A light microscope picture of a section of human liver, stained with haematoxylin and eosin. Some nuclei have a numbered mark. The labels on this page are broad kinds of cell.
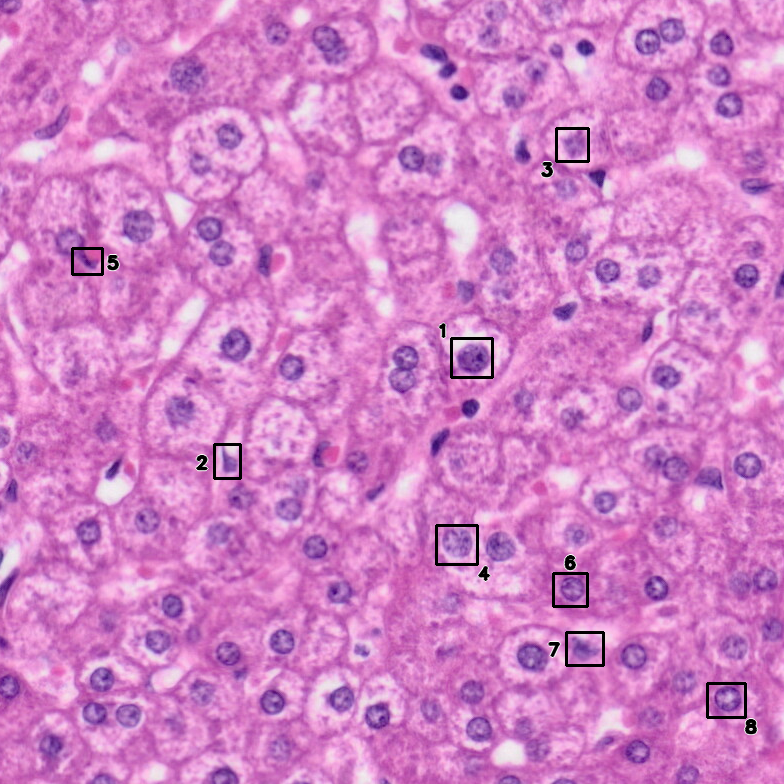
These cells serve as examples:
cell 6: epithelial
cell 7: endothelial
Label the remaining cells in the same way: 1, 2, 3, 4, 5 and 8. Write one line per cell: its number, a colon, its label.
1: epithelial
2: endothelial
3: epithelial
4: epithelial
5: endothelial
8: epithelial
